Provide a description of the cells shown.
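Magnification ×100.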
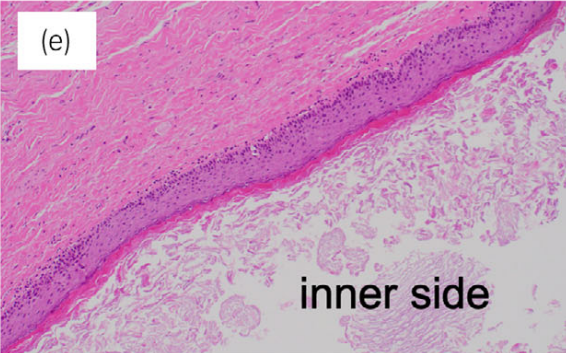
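This is the wall of a cyst, lined by stratified squamous epithelium. The lining runs diagonally across the field as a band several cells thick. Its cells have dark purple nuclei and become flatter toward the surface facing the cavity, where a thin bright pink layer caps the band. Beneath the epithelium lies pale pink, wavy fibrous wall tissue. On the inner side, the cavity holds loose, flaky pale pink material. The lining looks orderly throughout, with no atypical or crowded cells.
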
